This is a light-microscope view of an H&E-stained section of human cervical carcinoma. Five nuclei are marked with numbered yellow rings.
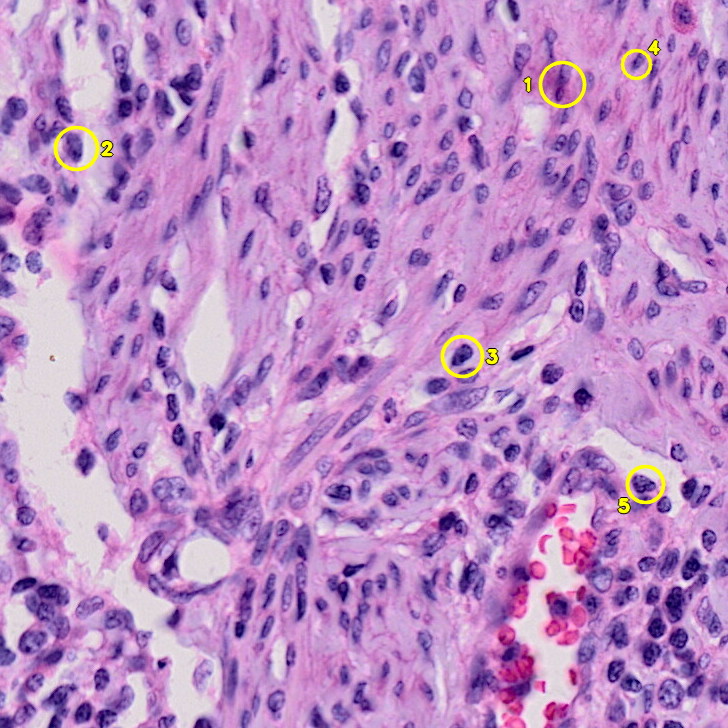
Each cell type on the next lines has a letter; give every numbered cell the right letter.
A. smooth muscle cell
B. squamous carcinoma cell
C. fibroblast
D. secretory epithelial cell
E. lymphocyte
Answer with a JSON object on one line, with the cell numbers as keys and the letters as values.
{"1": "A", "2": "E", "3": "E", "4": "A", "5": "E"}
